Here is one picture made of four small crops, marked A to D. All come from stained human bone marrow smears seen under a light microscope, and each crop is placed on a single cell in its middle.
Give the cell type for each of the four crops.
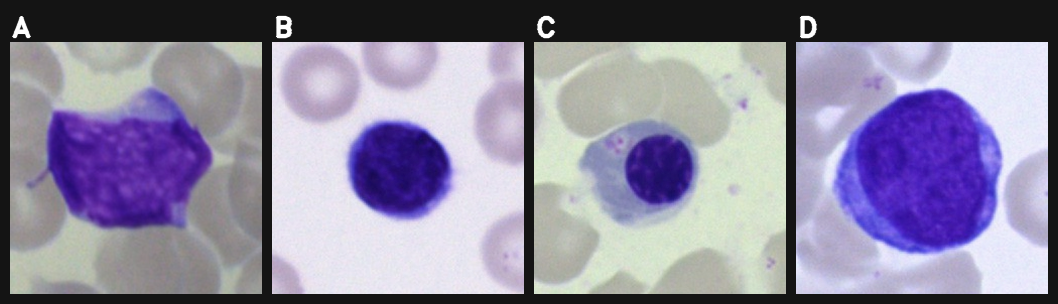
A: blast
B: lymphocyte
C: erythroblast
D: blast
